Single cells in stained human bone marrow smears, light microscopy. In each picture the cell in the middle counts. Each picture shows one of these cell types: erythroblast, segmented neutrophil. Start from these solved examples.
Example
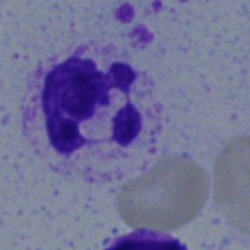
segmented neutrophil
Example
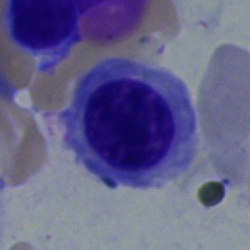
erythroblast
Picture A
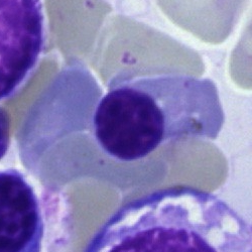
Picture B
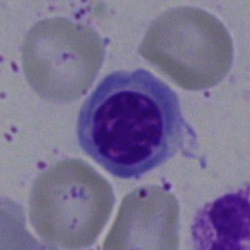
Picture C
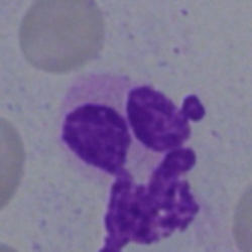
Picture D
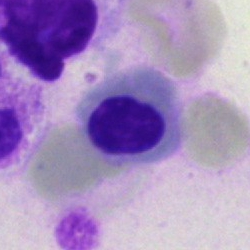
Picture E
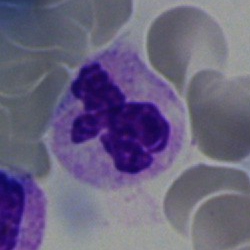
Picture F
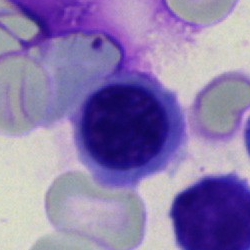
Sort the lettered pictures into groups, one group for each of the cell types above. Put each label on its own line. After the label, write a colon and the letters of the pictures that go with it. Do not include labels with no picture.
erythroblast: A, B, D, F
segmented neutrophil: C, E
